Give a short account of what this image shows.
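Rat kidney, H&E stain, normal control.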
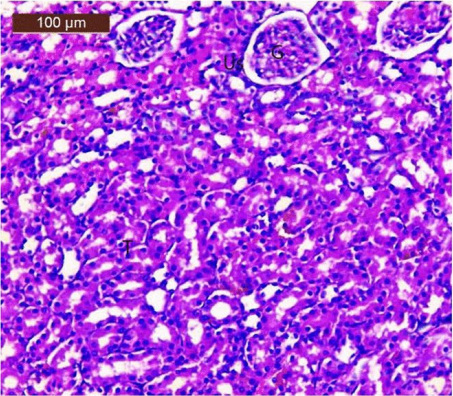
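This section of renal cortex shows glomeruli and densely packed tubules. Each glomerulus is a rounded tuft of capillaries with many purple nuclei, surrounded by a thin clear rim of urinary space inside its capsule. The tubules around them are lined by cuboidal cells with evenly pink cytoplasm and round purple nuclei. Tubular lumens are narrow and mostly clear, and the tubules lie close together with little tissue between them.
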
